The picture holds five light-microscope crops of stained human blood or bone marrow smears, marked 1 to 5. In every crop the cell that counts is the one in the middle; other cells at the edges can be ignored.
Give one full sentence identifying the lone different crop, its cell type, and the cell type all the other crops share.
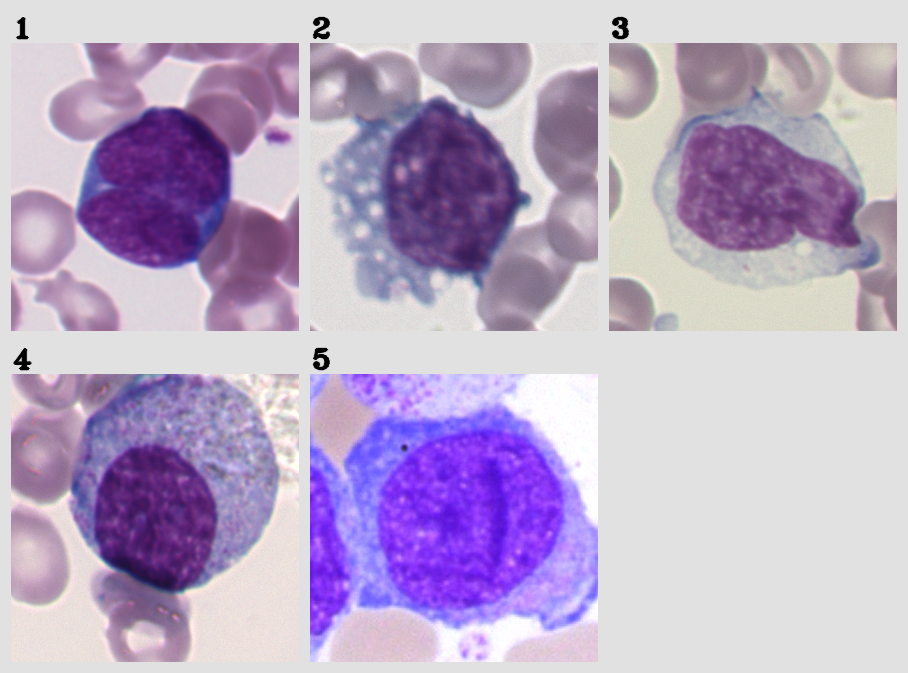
The different crop is crop 4, a promyelocyte; all the others show blasts.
